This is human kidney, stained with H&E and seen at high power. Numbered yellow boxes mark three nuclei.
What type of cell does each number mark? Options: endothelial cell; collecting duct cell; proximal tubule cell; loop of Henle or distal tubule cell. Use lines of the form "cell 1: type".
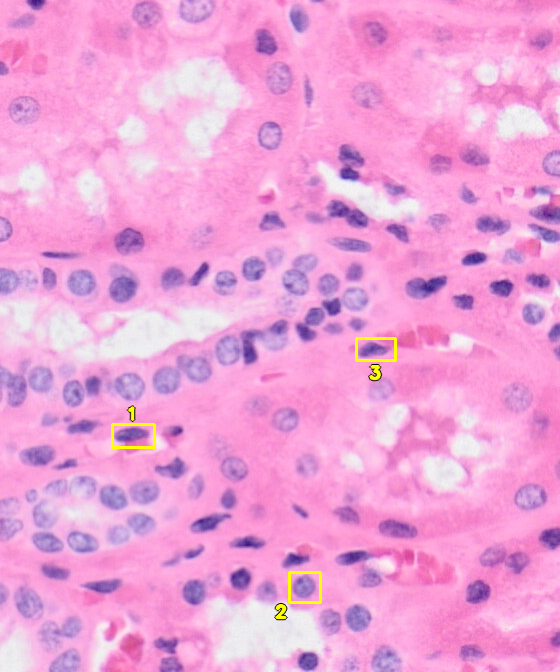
cell 1: endothelial cell
cell 2: loop of Henle or distal tubule cell
cell 3: endothelial cell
